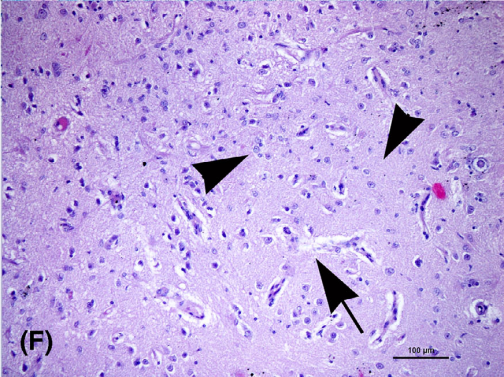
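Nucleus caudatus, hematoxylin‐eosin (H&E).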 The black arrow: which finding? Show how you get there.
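Neovascularization. Many small thin-walled vessel profiles lie close together in the tissue. The arrow points to one capillary with elongated wall nuclei.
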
